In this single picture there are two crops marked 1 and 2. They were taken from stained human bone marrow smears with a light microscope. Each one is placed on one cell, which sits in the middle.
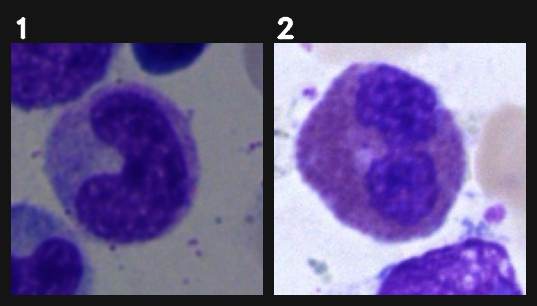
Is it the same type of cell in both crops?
no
